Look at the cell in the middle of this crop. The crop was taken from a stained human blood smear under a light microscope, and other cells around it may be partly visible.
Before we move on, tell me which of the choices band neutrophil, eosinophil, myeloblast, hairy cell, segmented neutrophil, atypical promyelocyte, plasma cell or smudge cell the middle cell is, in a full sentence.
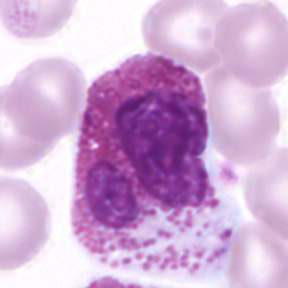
The cell sitting right in the middle is an eosinophil.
